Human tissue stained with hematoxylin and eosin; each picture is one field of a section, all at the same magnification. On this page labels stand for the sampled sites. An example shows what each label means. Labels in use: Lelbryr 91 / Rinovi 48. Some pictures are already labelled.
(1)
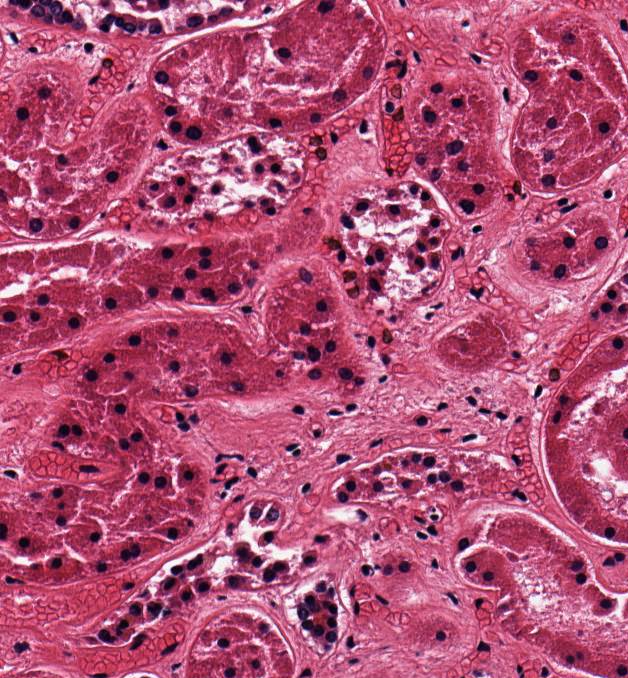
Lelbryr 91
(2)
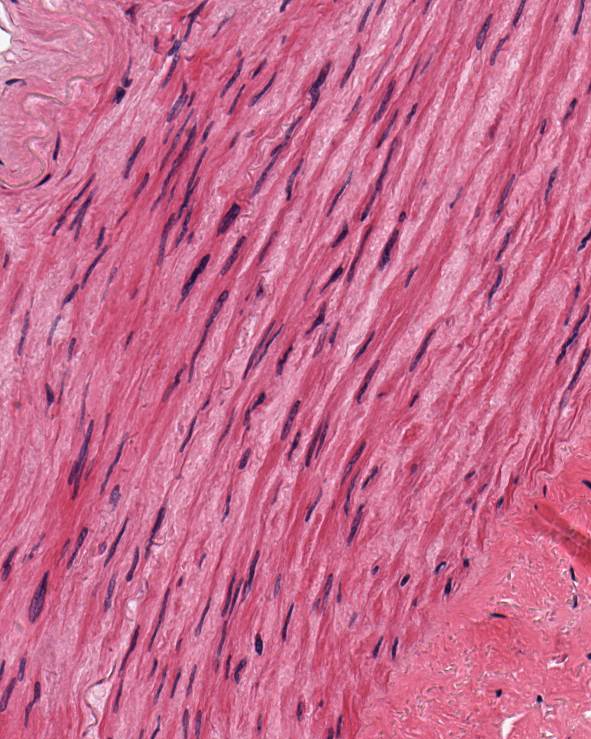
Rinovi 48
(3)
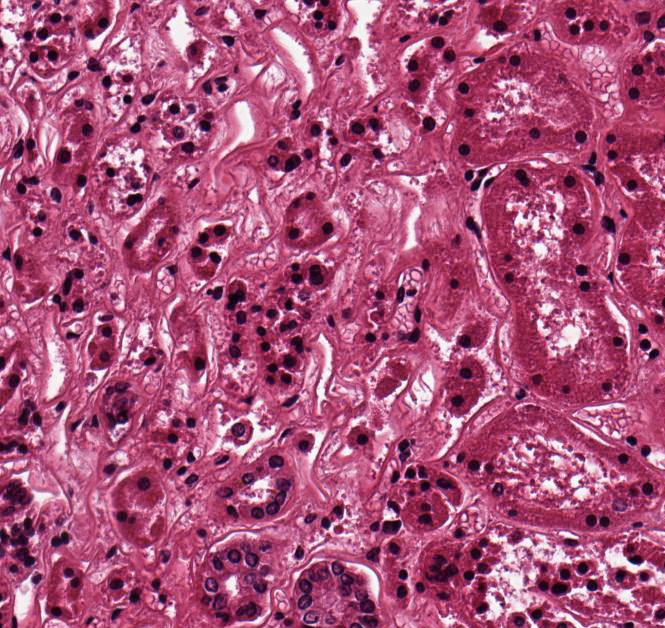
Lelbryr 91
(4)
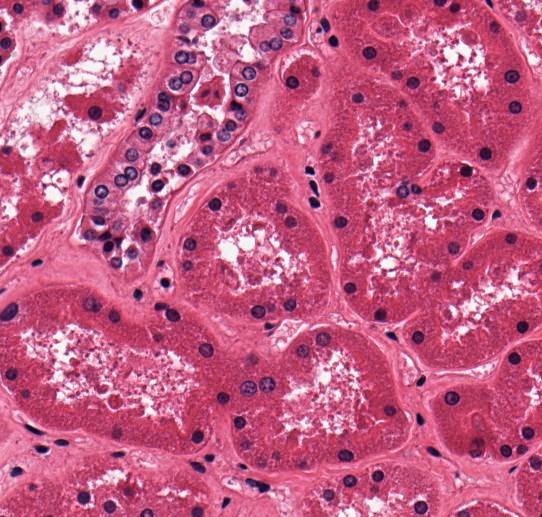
Lelbryr 91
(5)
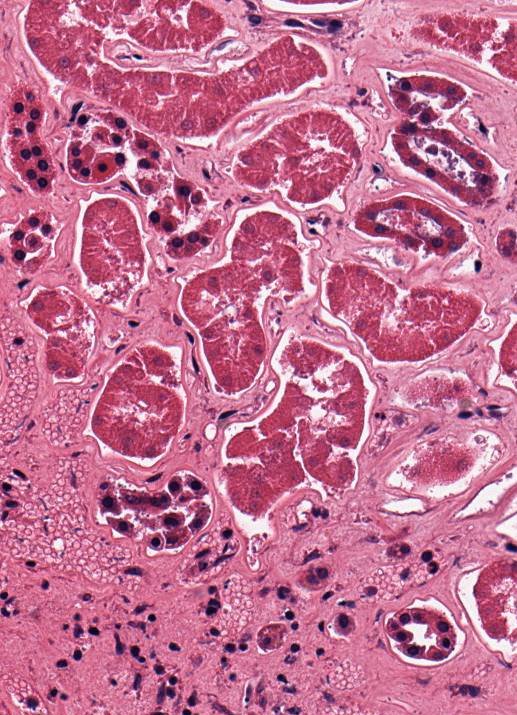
Lelbryr 91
